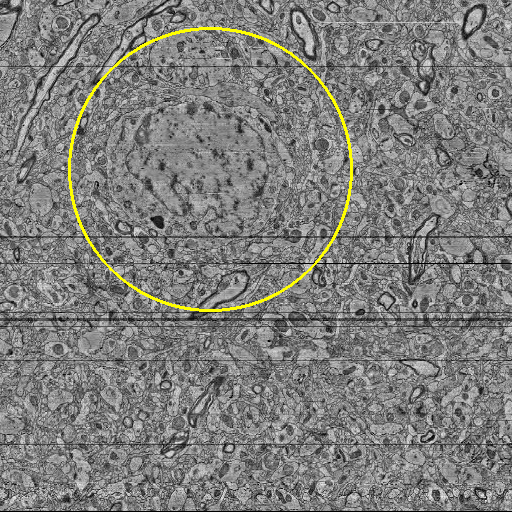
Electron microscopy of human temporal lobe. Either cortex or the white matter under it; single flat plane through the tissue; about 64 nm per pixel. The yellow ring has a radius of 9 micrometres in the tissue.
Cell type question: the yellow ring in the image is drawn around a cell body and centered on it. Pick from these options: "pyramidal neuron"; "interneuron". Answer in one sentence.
The ringed cell at the center is an interneuron.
